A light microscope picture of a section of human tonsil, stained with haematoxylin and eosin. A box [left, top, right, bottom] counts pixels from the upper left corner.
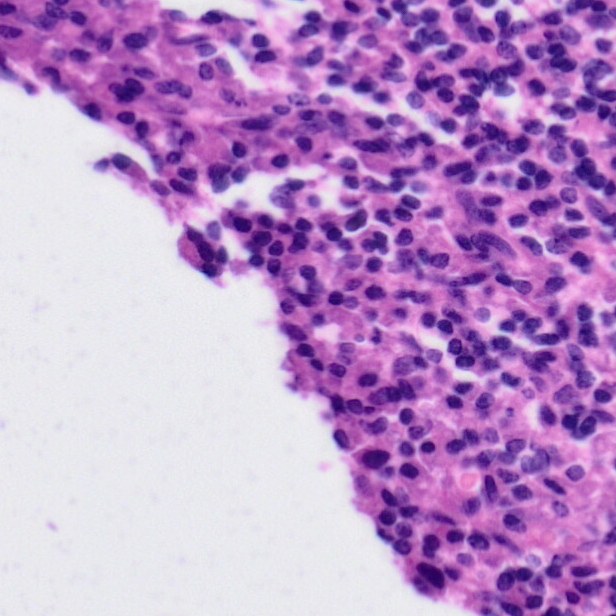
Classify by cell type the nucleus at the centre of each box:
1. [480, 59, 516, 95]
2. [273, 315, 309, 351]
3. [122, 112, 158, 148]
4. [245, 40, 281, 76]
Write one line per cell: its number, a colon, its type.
1: small lymphocyte
2: squamous epithelial cell
3: plasma cell
4: plasma cell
